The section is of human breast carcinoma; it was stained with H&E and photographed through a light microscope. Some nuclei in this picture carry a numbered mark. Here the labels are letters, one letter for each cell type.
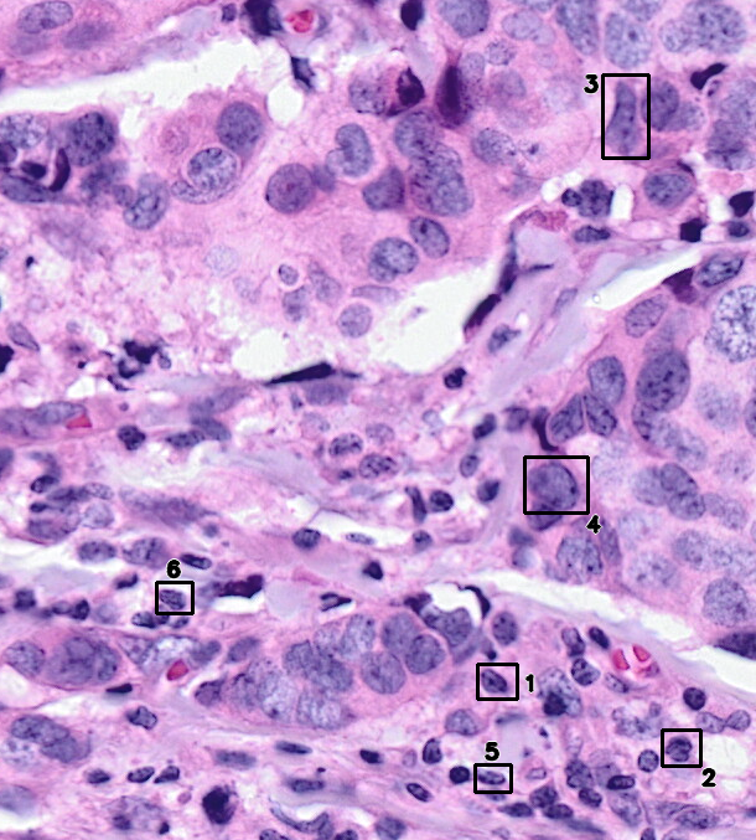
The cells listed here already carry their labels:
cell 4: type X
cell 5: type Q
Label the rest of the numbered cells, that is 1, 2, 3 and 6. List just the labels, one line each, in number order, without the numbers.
type Q
type Q
type X
type Q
